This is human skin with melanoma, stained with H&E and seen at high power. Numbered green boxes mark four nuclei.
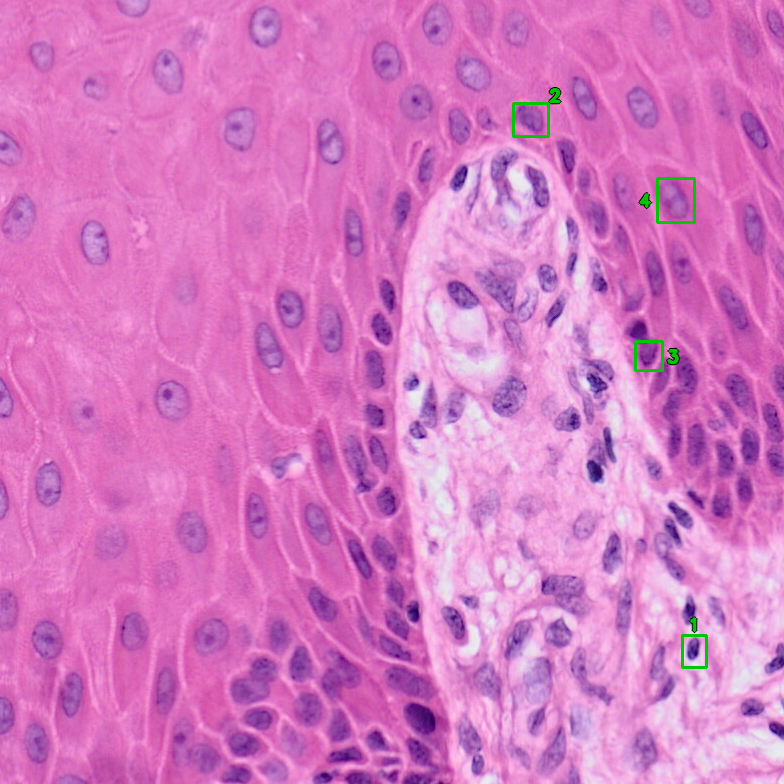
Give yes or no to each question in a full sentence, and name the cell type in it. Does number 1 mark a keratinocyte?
No, cell 1 is a lymphocyte and should not be called a keratinocyte.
